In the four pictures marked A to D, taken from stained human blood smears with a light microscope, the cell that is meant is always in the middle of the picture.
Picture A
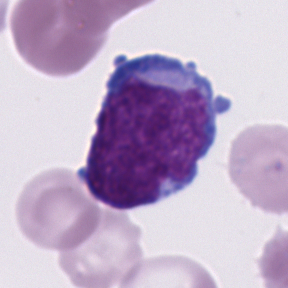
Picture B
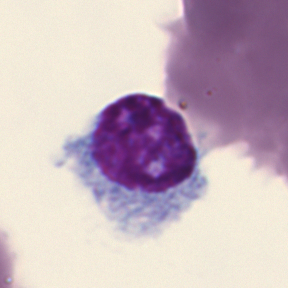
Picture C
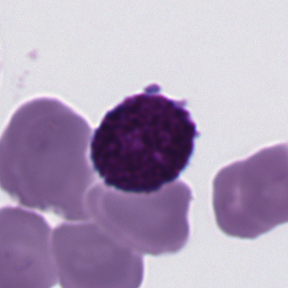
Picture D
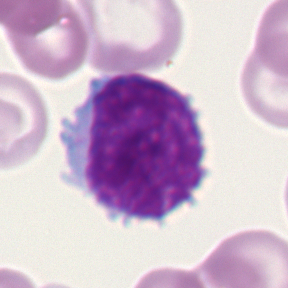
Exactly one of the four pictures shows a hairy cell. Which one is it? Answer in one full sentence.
Picture B is the one that shows the hairy cell.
